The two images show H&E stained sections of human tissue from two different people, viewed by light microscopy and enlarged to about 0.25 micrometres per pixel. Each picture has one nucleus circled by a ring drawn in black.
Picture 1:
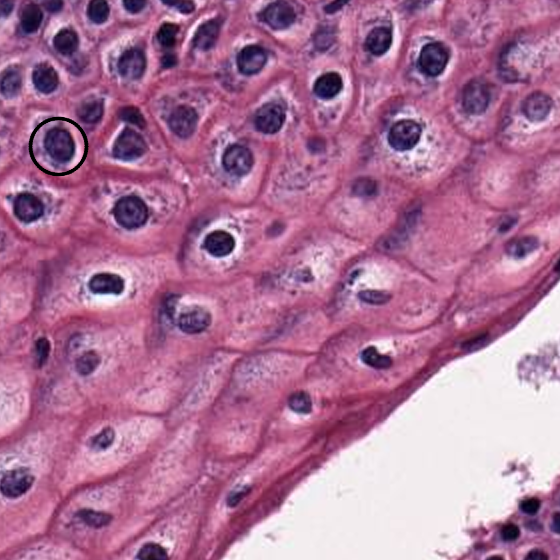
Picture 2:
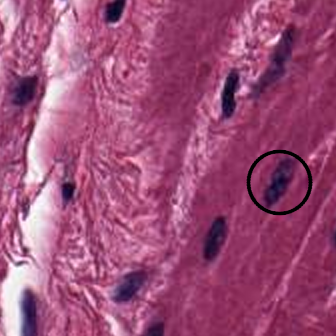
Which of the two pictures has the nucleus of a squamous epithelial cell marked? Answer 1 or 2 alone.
1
